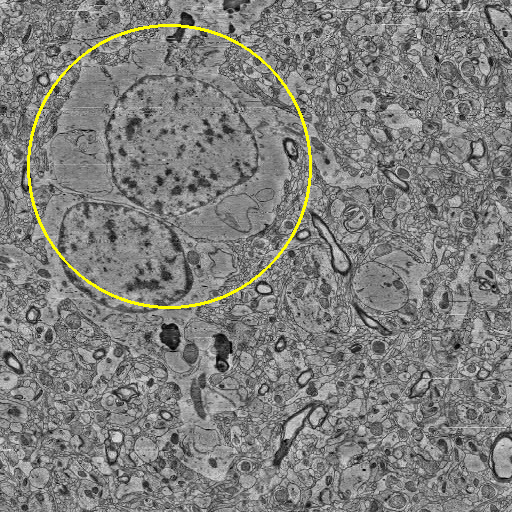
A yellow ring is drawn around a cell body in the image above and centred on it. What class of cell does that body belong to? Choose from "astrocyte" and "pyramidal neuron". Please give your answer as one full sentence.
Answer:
The yellow ring above is centred on the cell body of an astrocyte.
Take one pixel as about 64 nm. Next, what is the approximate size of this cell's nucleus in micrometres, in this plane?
The nucleus comes to roughly 10 micrometres across in this plane.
